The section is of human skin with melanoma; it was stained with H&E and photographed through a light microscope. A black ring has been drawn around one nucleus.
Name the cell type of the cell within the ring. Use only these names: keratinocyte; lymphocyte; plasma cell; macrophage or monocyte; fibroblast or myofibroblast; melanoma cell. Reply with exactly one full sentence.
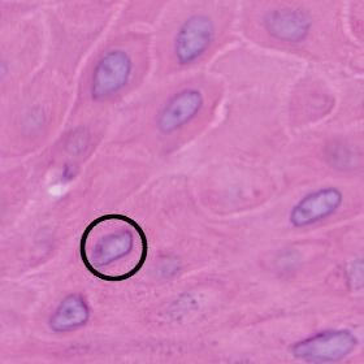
For cell typing purposes, the cell within the ring is a keratinocyte.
